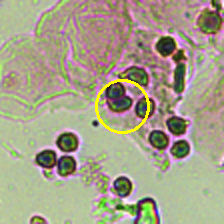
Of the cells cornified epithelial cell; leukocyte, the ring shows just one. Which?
The ring shows a leukocyte.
